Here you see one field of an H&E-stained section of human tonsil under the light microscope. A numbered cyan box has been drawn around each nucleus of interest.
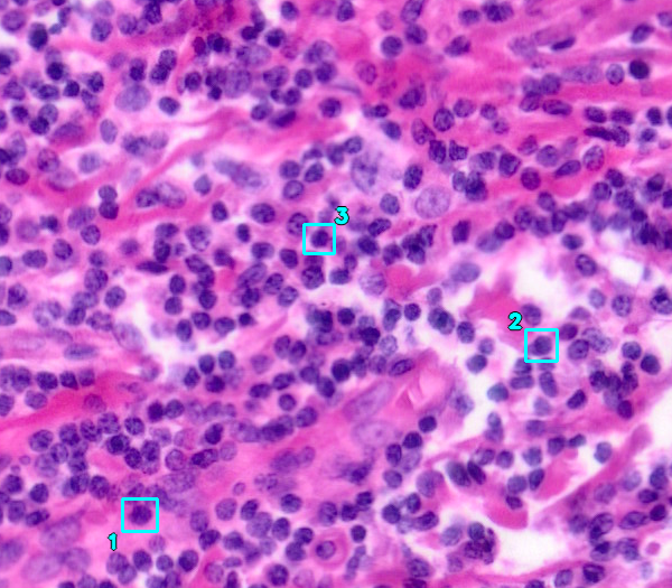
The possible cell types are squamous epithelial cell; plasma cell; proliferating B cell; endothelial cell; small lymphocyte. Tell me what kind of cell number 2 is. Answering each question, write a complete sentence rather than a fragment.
The cell identified by number 2 is a small lymphocyte.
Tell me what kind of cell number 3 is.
Here the cell numbered 3 is a small lymphocyte.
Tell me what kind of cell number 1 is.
The cell numbered 1 has been identified as an endothelial cell.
